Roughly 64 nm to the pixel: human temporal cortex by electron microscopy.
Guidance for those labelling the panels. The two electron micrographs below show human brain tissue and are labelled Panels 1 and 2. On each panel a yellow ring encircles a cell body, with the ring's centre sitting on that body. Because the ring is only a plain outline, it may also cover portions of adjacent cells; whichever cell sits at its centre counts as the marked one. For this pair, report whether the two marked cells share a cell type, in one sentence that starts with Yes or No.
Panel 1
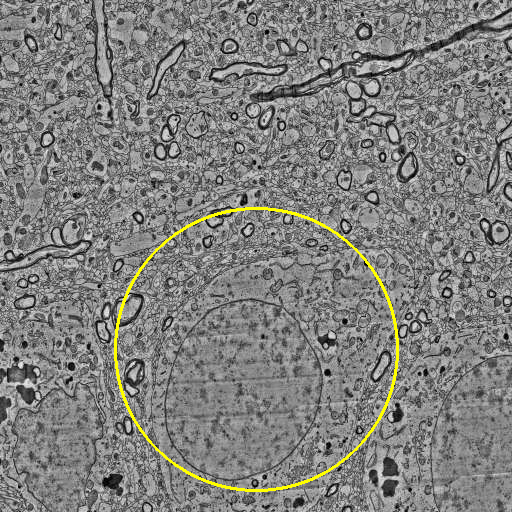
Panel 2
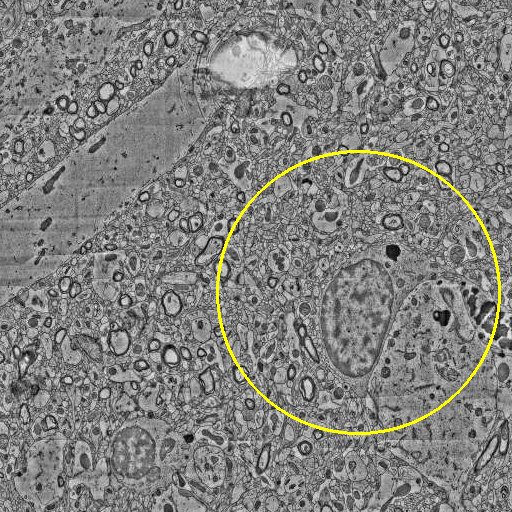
No, in Panel 1 and Panel 2 the marked cells at the ring centres are of two types.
